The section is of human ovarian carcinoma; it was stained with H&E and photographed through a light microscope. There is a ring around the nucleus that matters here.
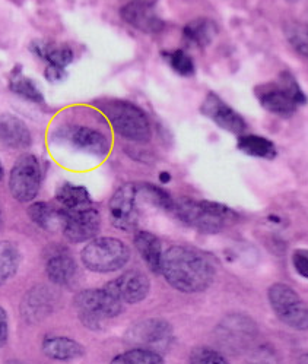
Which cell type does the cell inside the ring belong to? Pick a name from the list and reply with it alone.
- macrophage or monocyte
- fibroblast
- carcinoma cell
carcinoma cell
